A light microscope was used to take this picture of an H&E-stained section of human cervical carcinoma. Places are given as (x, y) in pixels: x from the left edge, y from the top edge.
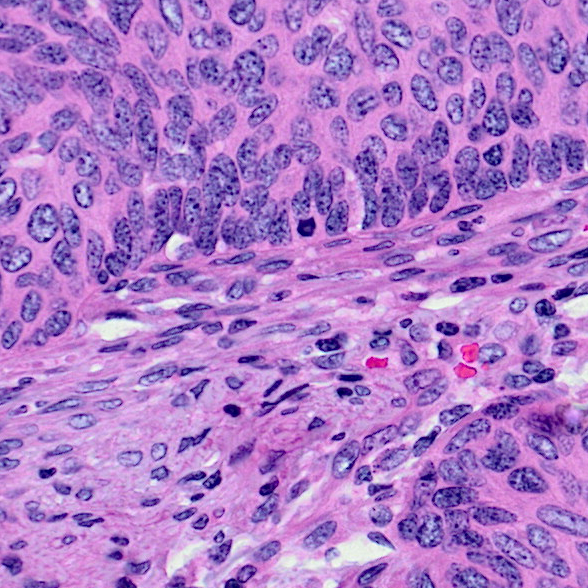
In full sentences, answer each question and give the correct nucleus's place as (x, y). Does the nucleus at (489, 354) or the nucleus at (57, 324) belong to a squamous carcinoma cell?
Located at (57, 324), this nucleus is the one belonging to a squamous carcinoma cell.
